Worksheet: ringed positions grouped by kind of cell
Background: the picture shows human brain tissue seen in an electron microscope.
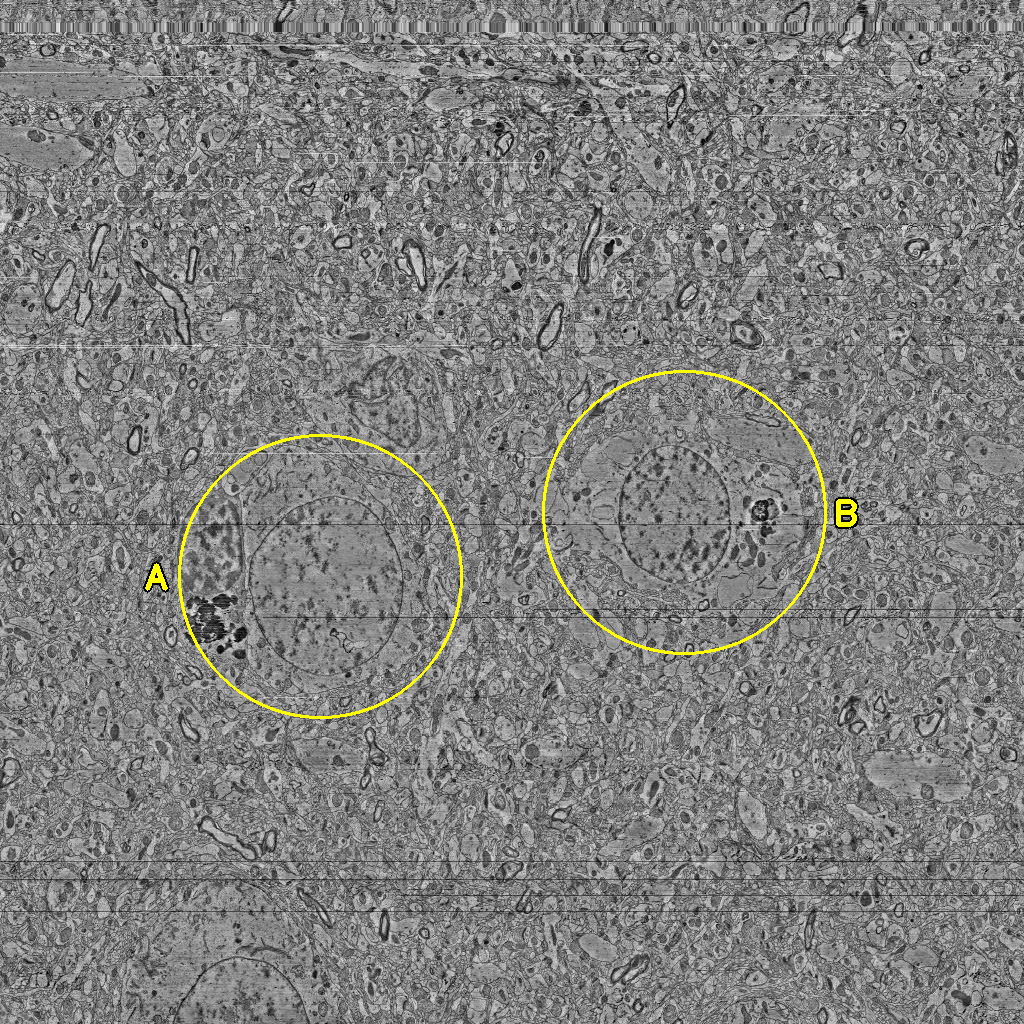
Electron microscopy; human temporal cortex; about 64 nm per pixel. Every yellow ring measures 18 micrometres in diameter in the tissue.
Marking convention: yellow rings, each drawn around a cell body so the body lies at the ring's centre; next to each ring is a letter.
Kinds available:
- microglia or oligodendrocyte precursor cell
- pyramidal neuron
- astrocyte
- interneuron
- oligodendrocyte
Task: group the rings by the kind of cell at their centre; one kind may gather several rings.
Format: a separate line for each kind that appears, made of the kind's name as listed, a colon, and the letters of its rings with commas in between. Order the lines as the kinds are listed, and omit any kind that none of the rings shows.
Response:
pyramidal neuron: A
astrocyte: B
